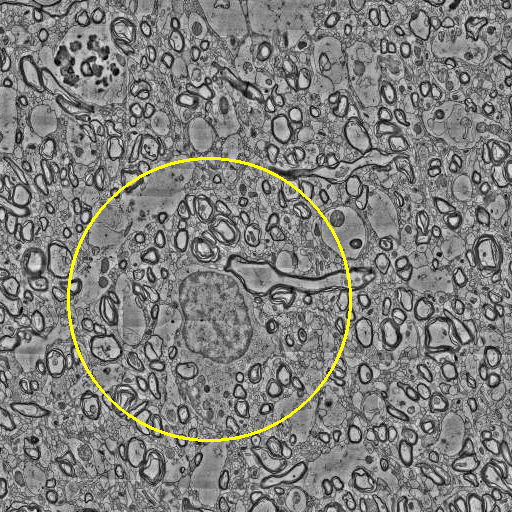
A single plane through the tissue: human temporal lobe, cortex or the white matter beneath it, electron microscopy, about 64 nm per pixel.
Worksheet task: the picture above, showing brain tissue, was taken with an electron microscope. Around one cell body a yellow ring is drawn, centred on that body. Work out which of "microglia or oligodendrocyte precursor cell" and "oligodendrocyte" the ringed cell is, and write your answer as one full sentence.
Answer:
It is an oligodendrocyte whose cell body lies at the centre of the yellow ring.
